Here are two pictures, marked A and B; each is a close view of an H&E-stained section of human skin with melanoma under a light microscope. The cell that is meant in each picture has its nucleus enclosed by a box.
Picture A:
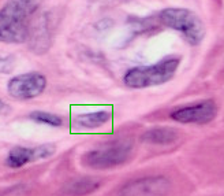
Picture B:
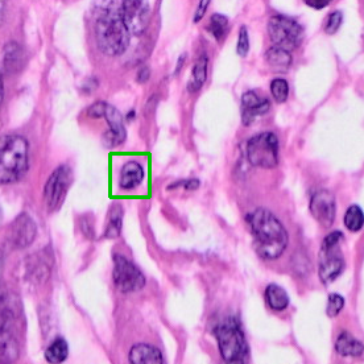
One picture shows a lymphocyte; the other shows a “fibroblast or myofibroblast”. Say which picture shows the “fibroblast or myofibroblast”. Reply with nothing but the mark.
A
